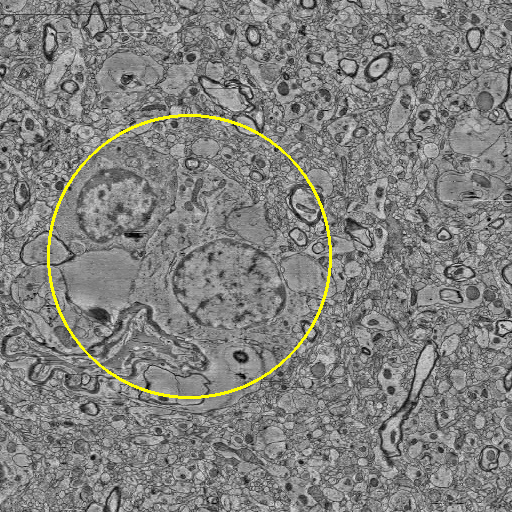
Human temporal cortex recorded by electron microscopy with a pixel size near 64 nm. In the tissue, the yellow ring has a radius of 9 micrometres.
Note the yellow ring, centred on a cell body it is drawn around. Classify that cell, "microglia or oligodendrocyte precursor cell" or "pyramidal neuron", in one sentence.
The cell the ring is centred on is a microglial cell or oligodendrocyte precursor cell.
